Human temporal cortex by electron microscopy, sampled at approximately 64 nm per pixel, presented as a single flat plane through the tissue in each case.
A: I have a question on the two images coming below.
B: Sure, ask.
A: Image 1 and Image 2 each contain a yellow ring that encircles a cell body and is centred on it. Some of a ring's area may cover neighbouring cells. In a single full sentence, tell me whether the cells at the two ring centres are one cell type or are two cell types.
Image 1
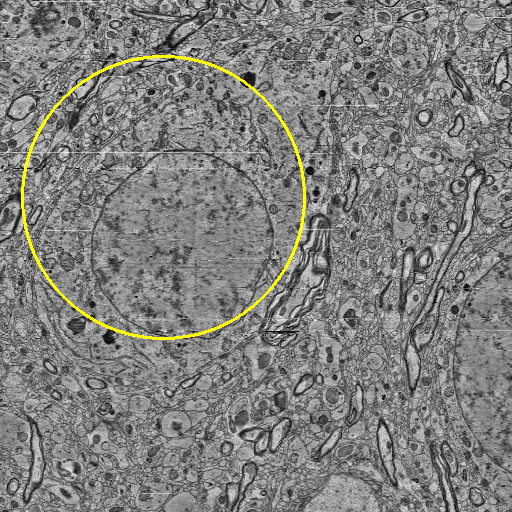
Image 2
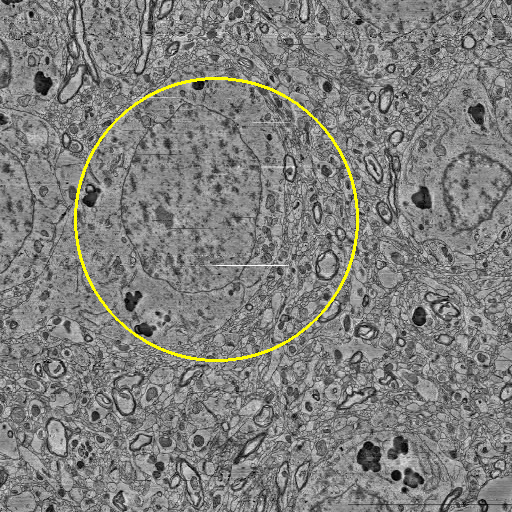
As for the ring-centre cells, the one in Image 1 and the one in Image 2 are one cell type.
